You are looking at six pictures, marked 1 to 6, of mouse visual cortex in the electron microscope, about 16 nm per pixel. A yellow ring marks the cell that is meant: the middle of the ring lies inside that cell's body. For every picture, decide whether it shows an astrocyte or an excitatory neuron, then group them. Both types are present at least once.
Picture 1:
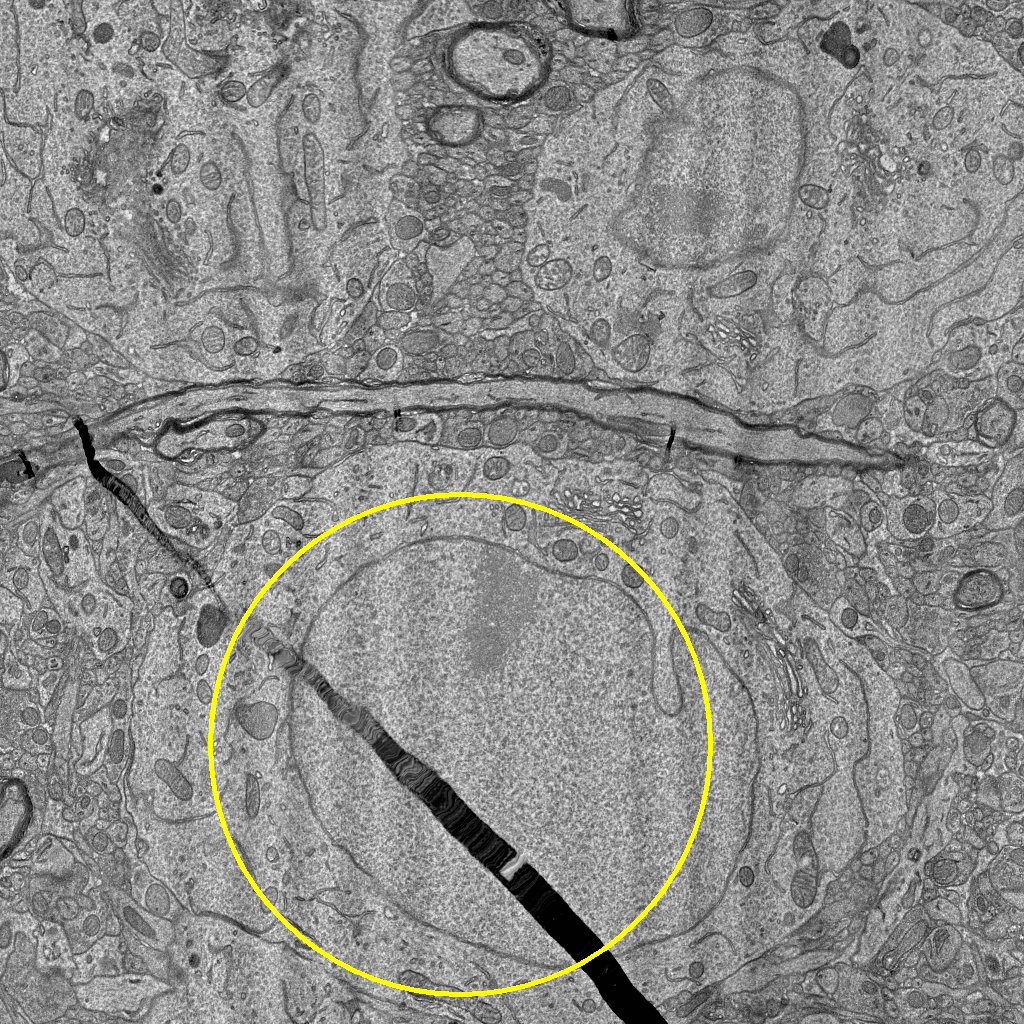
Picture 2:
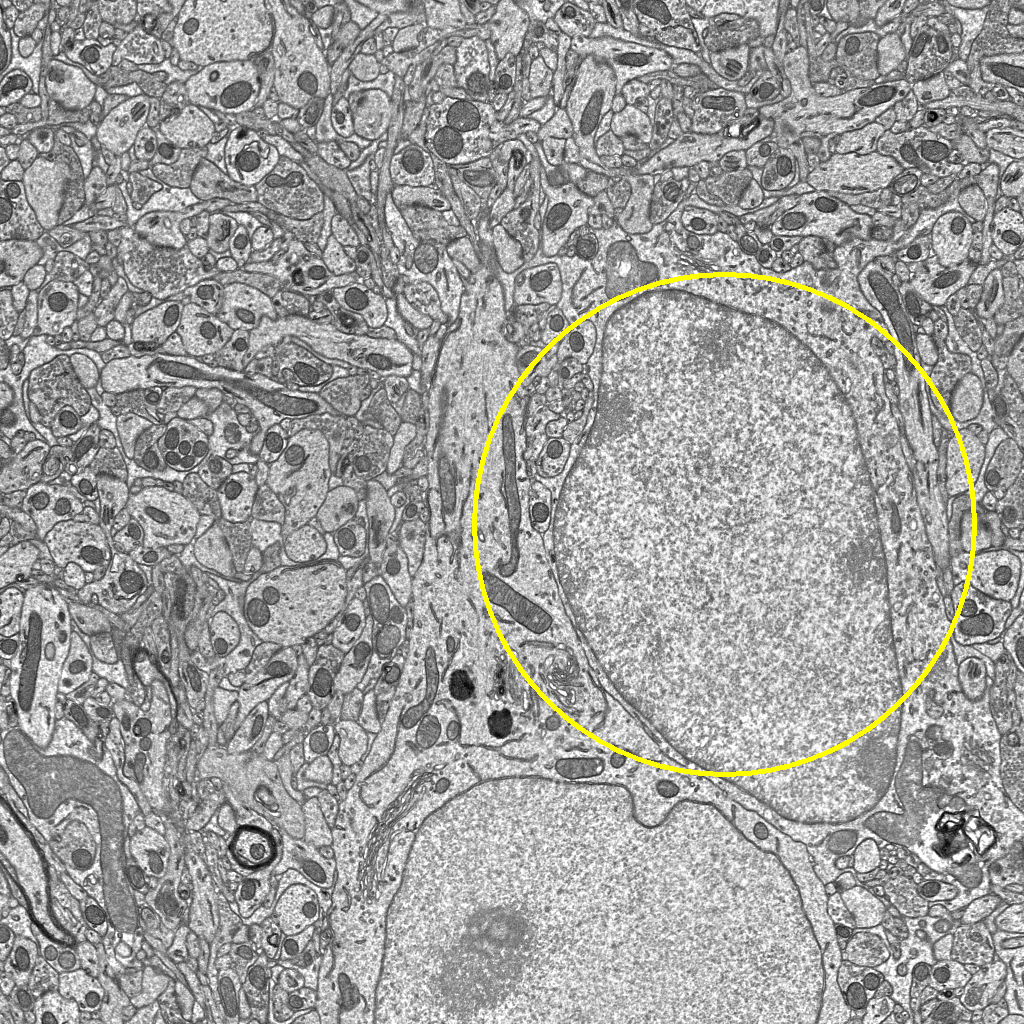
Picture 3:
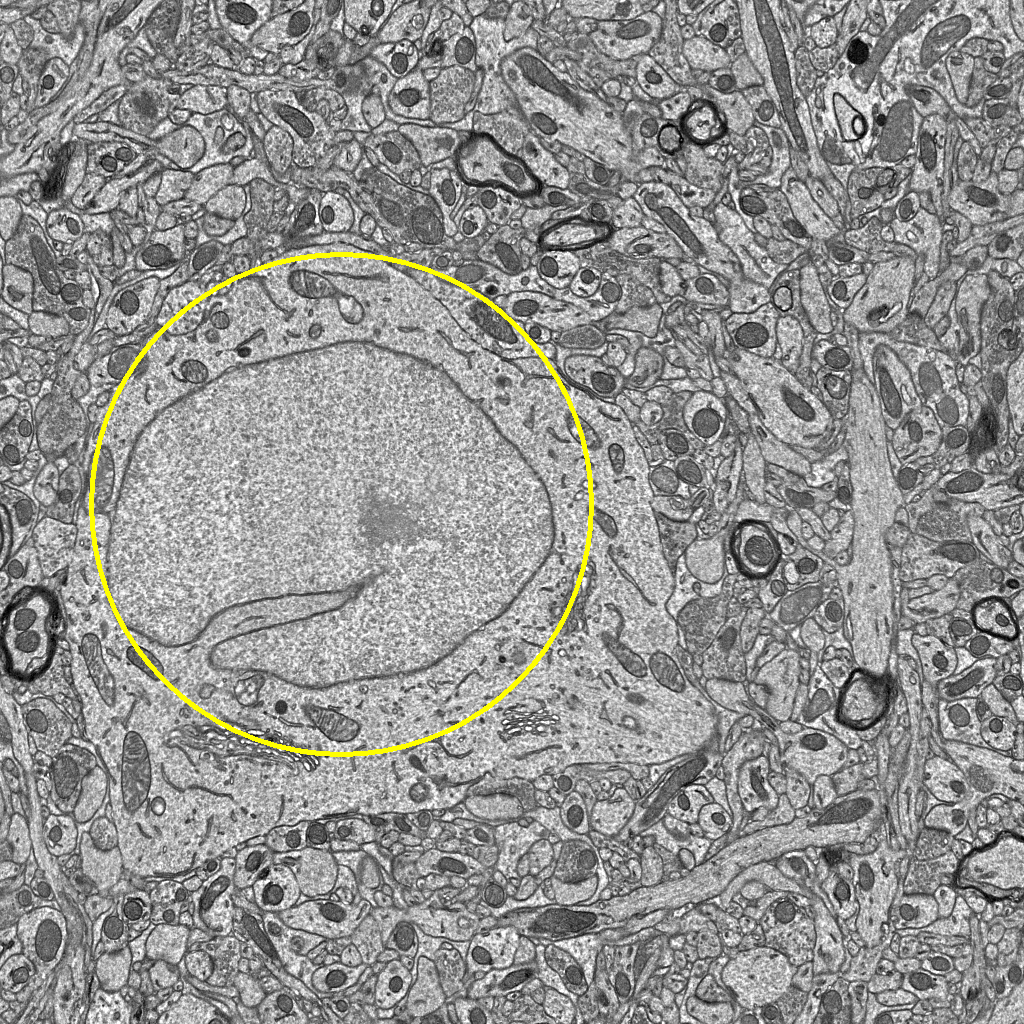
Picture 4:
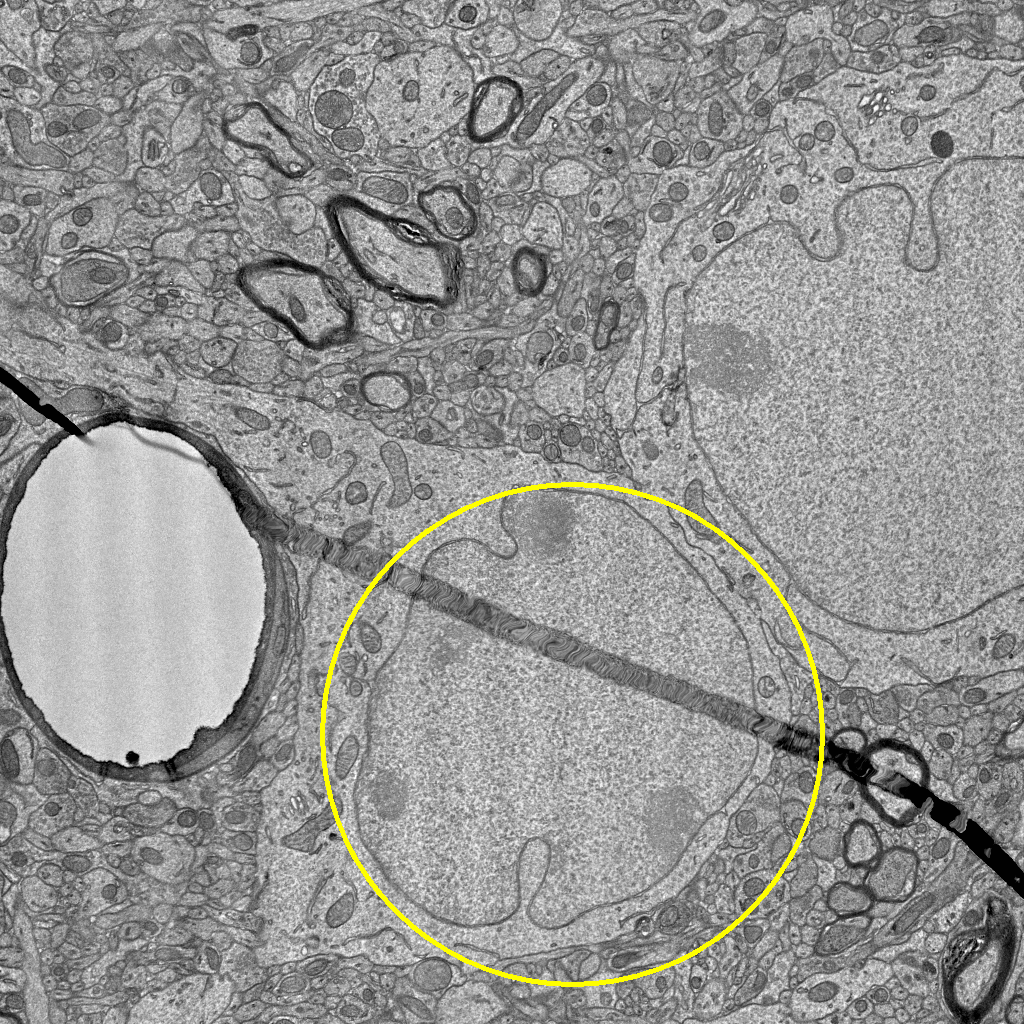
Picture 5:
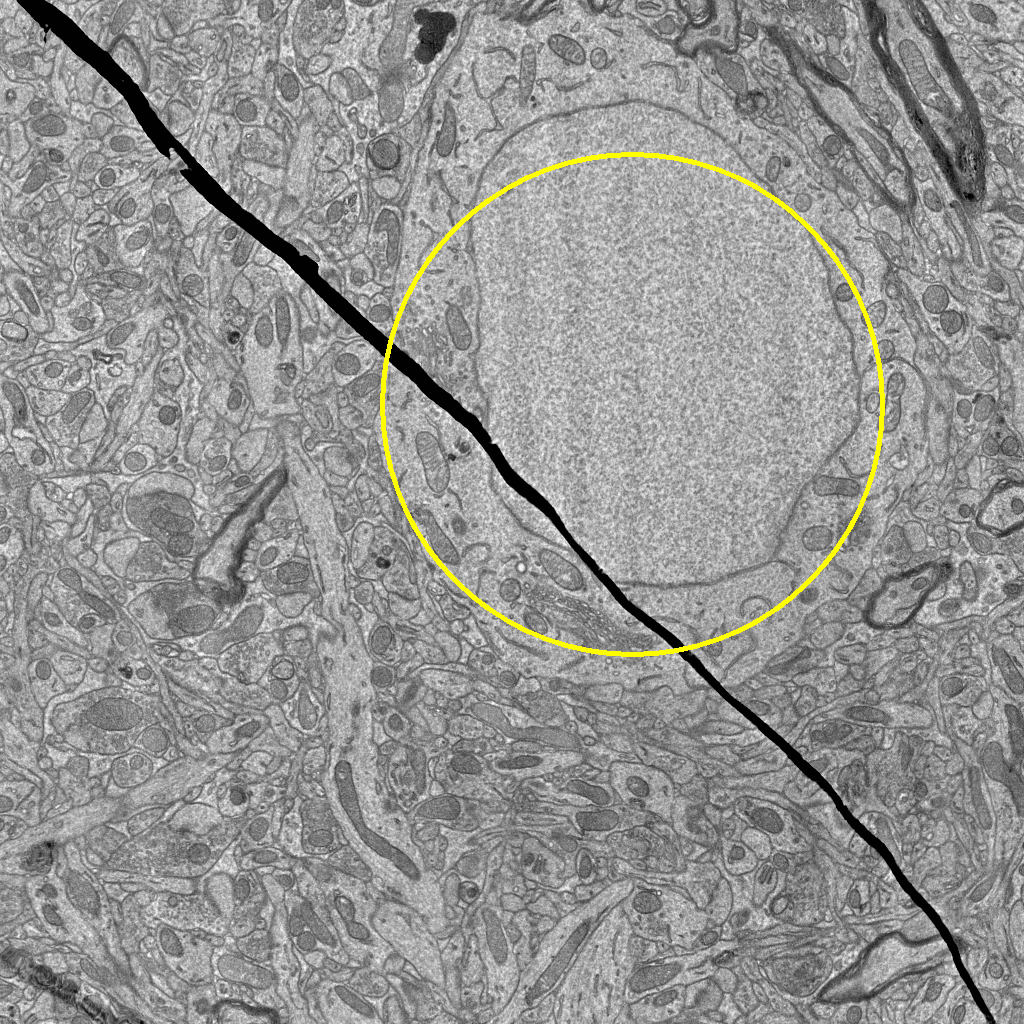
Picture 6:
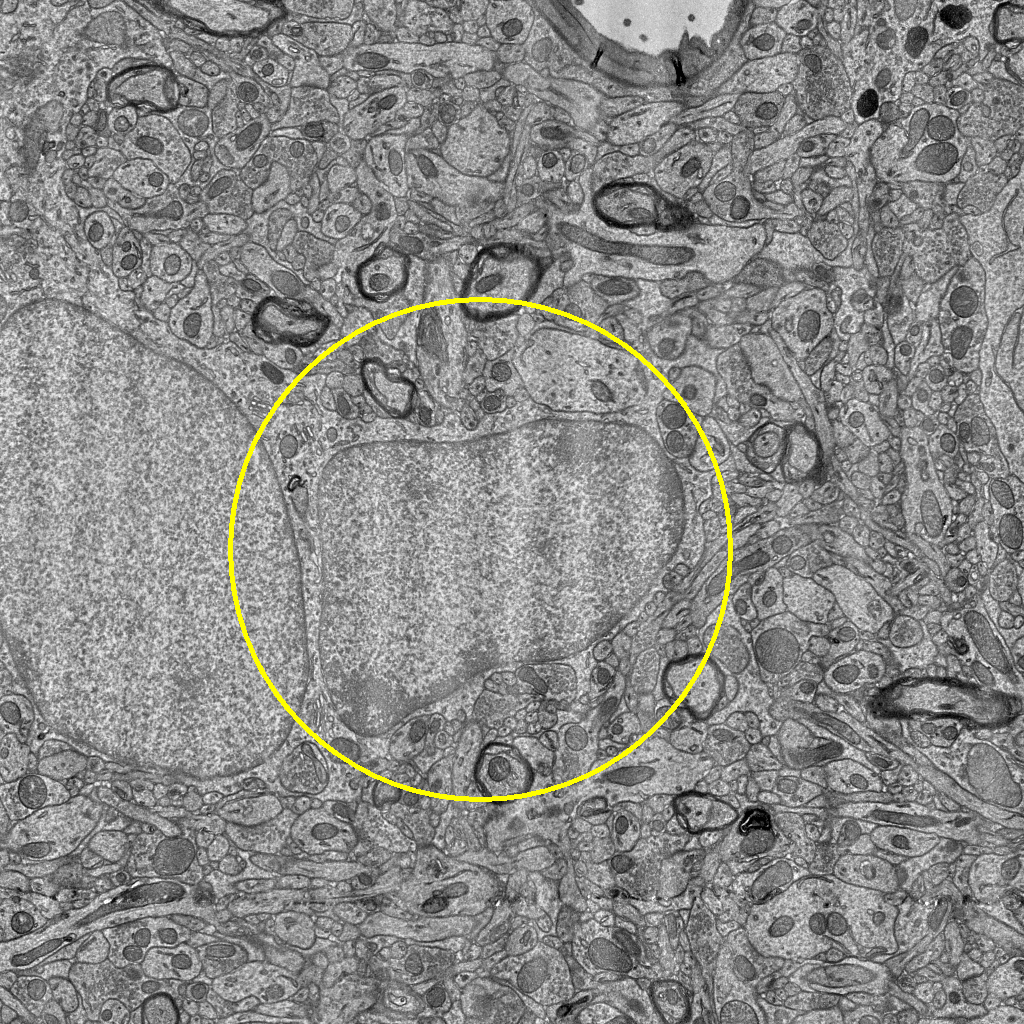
Pictures 2 and 6 show astrocytes, while pictures 1, 3, 4 and 5 show excitatory neurons.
